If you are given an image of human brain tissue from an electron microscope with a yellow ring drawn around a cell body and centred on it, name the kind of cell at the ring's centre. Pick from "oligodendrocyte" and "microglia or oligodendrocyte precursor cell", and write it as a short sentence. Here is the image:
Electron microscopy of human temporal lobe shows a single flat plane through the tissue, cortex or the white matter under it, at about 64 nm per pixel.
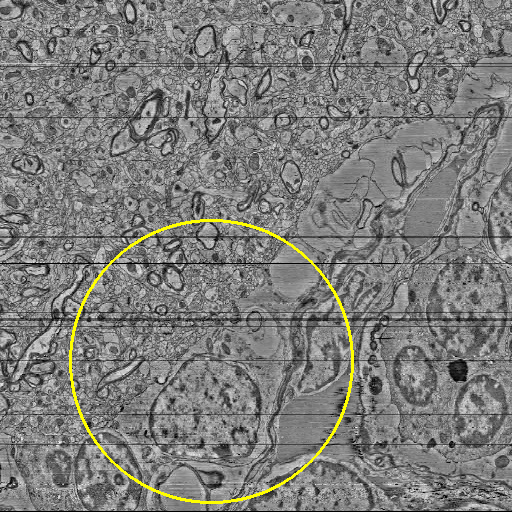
The cell at the ring's centre is a microglial cell or oligodendrocyte precursor cell.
